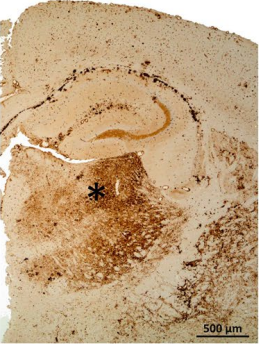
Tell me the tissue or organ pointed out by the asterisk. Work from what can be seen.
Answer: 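The asterisk sits in a large deep region below the hippocampus. That region is stained densely brown, much darker than the overlying cortex.
Thalamus.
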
